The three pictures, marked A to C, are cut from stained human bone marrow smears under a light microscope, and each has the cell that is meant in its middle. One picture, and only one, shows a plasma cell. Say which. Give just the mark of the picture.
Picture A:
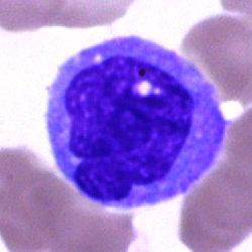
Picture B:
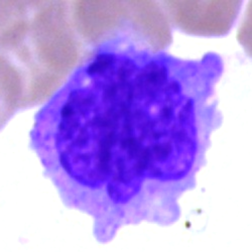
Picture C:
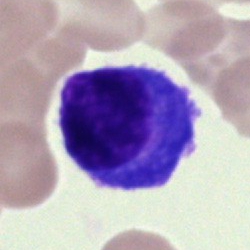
C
